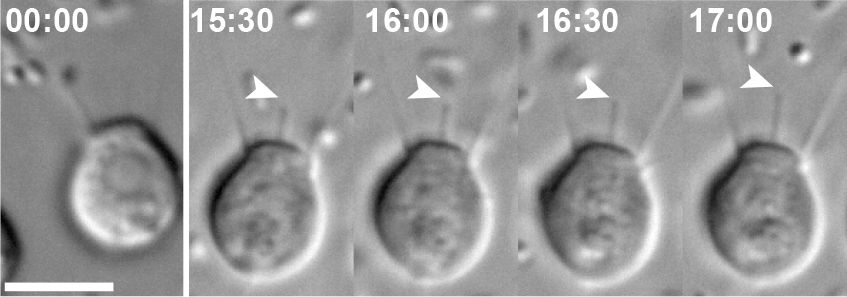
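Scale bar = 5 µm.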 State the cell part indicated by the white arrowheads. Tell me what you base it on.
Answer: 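A thin, straight protrusion rises from the top of the cell body inside a funnel of fine lines. The protrusion marked by the arrowheads is longer in later frames. The answer: nascent cilium.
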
